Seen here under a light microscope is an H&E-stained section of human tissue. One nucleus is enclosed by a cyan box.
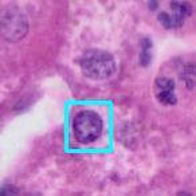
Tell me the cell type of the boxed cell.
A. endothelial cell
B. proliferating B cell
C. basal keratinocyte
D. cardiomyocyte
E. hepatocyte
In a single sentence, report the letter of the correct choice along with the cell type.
Looking at the options, pick E; the boxed cell is a hepatocyte.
